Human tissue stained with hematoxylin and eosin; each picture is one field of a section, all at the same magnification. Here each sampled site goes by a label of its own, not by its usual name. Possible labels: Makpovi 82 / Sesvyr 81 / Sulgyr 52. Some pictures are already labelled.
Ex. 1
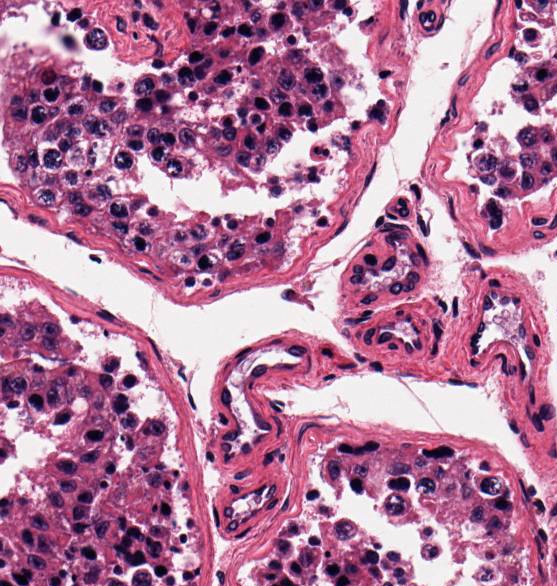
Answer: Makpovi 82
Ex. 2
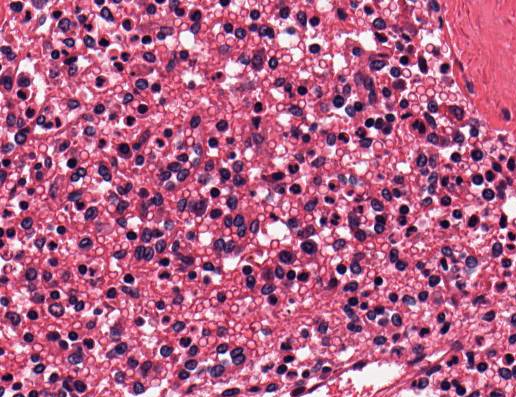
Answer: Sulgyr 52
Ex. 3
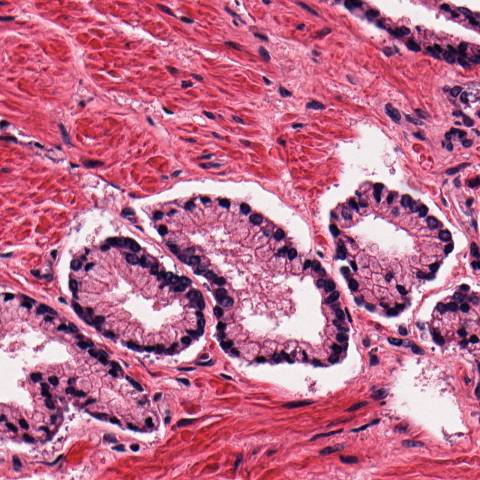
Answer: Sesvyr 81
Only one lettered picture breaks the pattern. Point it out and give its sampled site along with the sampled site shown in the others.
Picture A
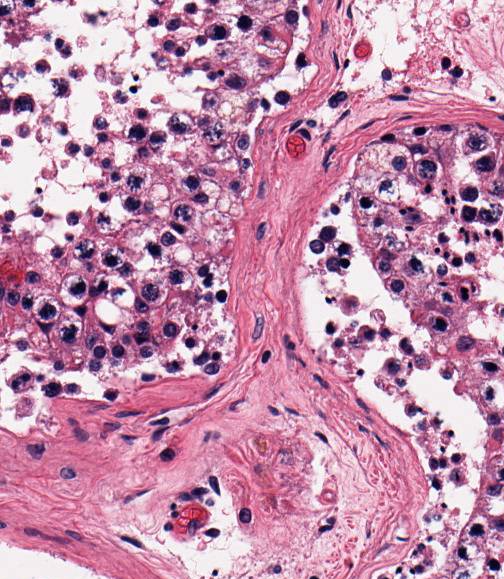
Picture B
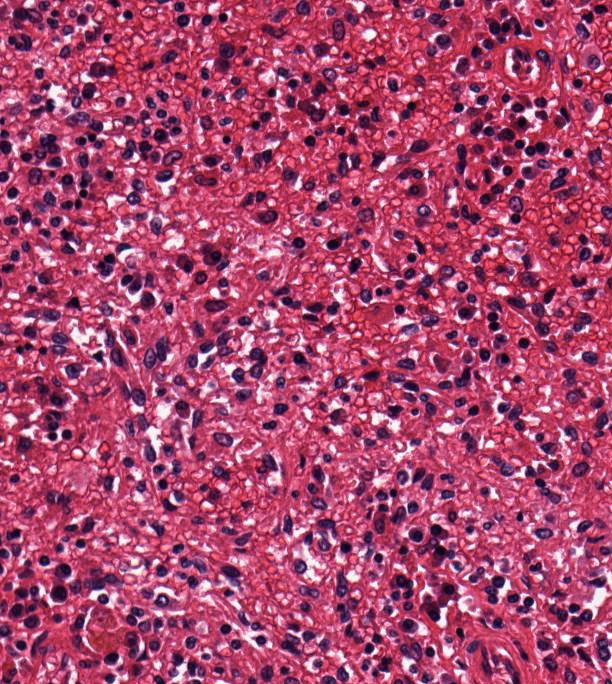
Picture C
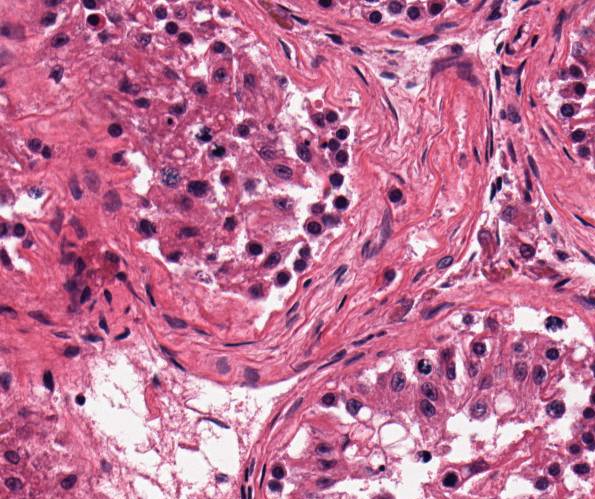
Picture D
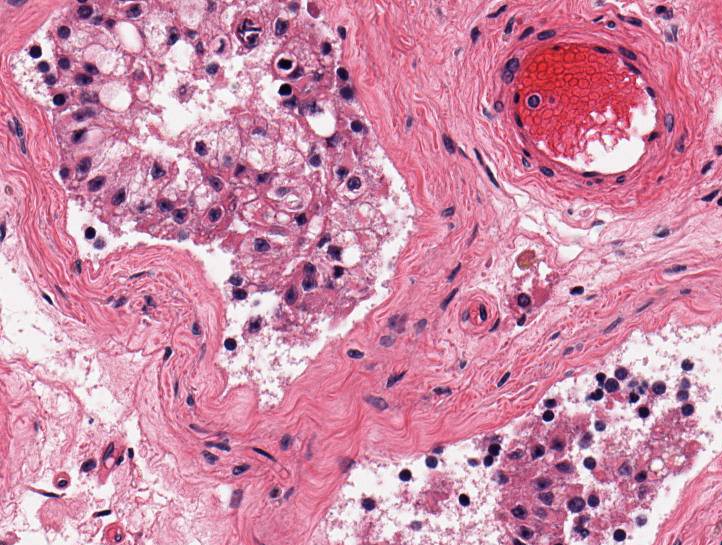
B differs and shows Sulgyr 52; the others show Makpovi 82.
